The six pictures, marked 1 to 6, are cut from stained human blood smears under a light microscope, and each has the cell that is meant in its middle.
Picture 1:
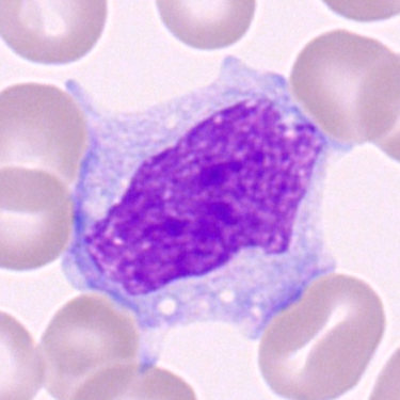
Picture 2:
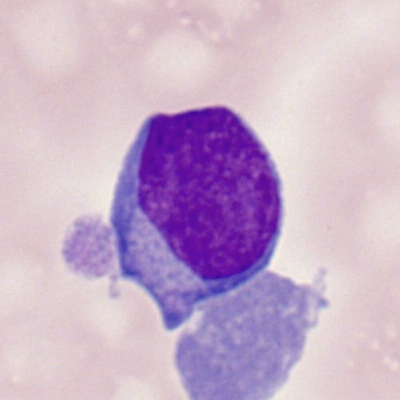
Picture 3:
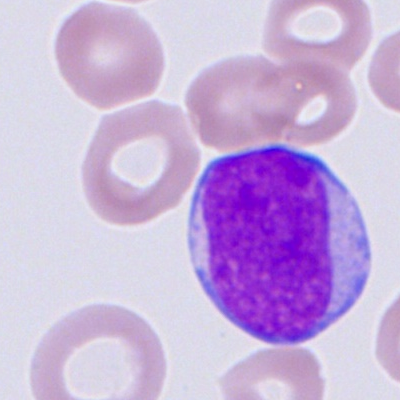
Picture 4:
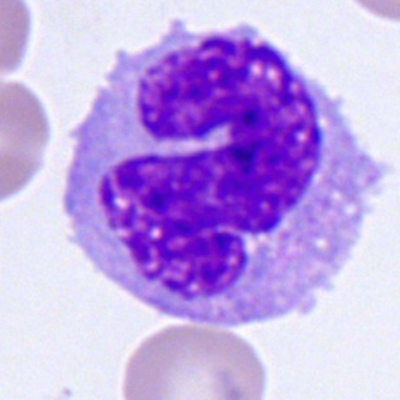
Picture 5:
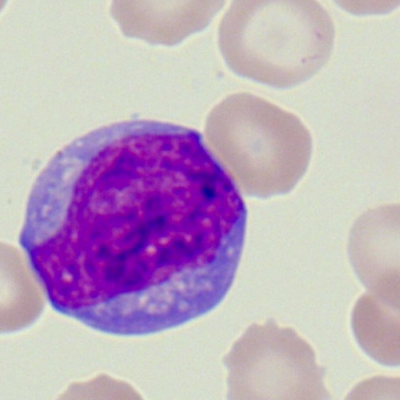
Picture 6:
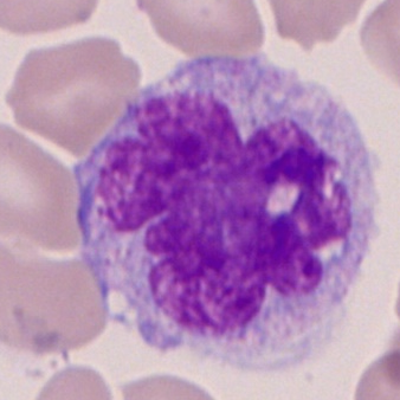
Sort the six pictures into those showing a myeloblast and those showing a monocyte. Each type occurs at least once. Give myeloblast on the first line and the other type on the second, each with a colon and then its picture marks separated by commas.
myeloblast: 2, 3, 5
monocyte: 1, 4, 6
